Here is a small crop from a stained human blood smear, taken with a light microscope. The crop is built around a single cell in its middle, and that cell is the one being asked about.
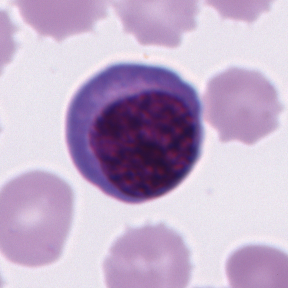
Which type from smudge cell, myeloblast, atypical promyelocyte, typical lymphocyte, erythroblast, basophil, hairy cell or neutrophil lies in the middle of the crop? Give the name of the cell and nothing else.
erythroblast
